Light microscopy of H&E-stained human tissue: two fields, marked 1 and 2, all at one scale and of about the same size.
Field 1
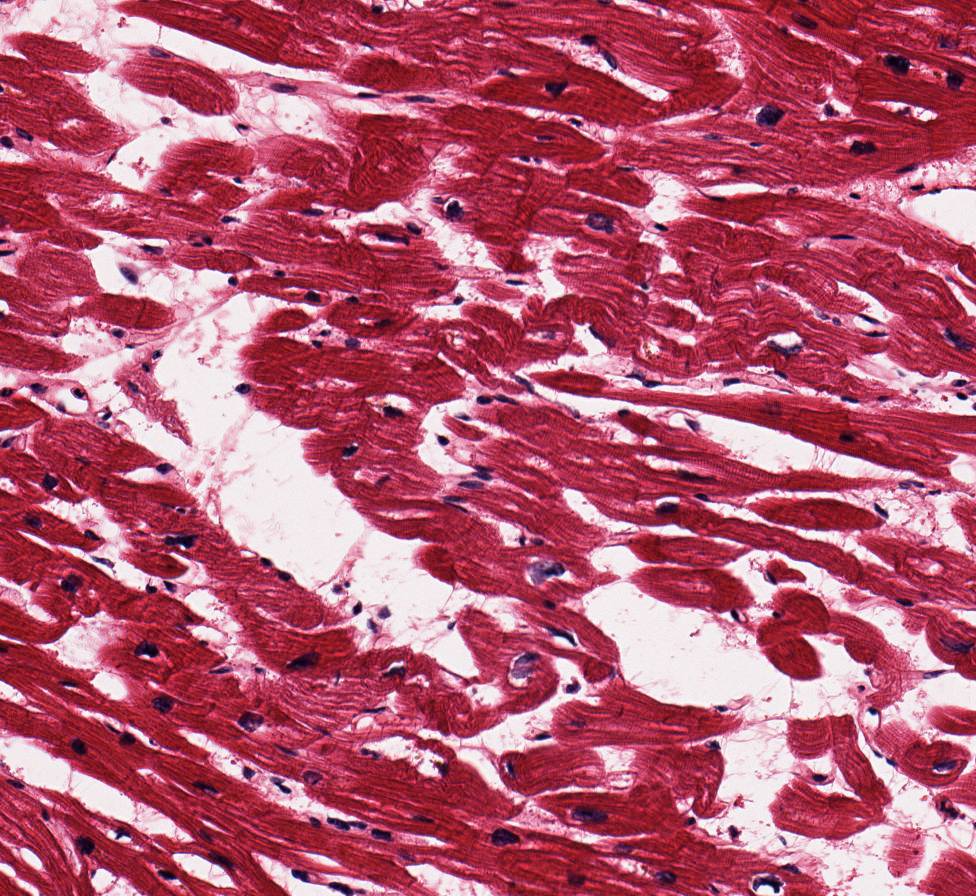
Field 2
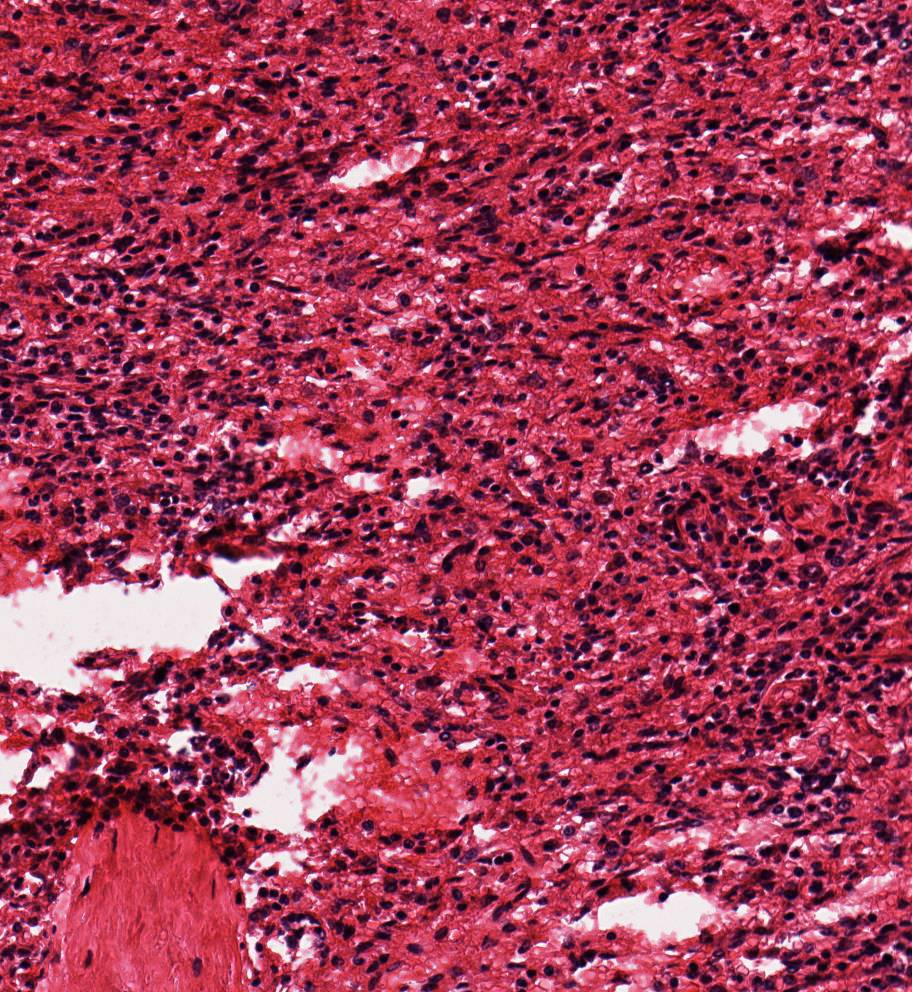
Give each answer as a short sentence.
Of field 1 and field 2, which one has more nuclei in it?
More nuclei lie in field 2 than in field 1.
